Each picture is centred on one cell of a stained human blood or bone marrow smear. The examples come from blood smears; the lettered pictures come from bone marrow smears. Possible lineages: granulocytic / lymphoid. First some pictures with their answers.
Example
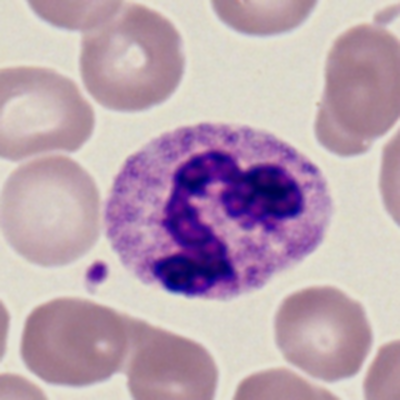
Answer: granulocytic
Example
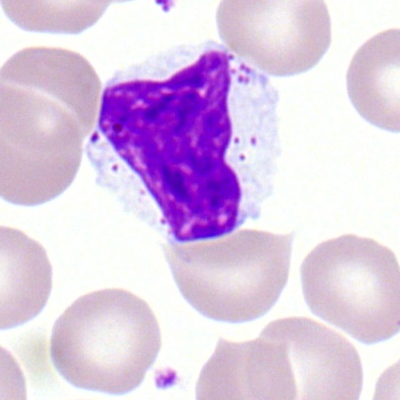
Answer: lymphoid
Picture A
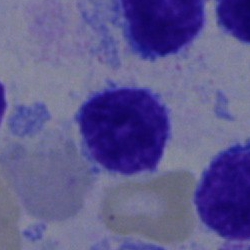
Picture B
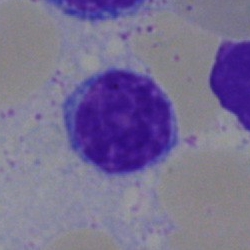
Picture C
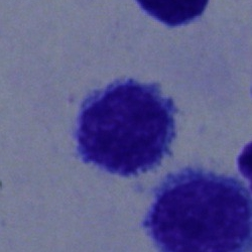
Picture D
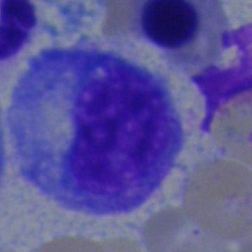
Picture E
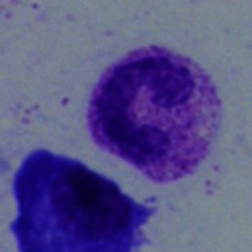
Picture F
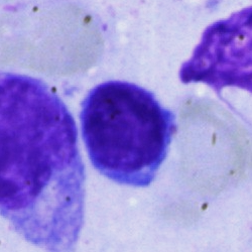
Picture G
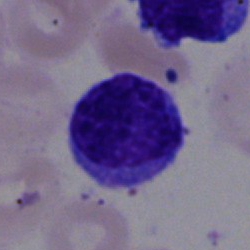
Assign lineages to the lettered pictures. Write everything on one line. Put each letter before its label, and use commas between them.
A lymphoid, B lymphoid, C lymphoid, D granulocytic, E granulocytic, F lymphoid, G lymphoid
